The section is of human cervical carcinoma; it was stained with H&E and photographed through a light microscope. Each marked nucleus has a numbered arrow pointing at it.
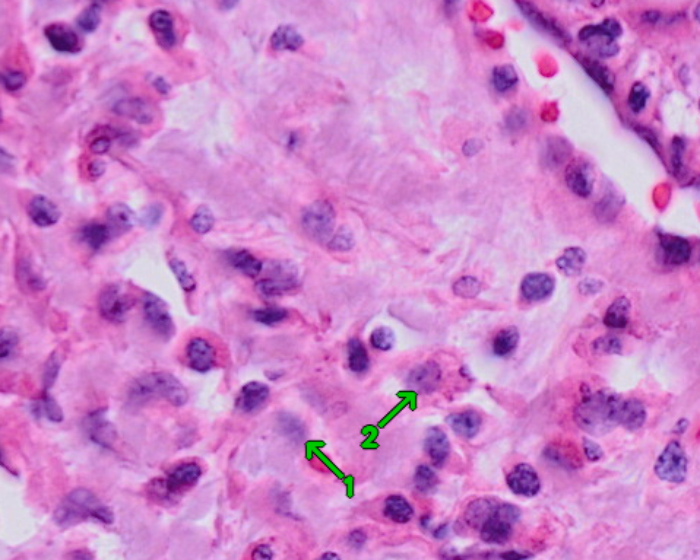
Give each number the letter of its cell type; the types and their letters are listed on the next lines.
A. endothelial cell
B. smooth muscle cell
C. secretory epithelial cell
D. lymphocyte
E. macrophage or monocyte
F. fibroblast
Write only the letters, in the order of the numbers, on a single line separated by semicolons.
A; E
